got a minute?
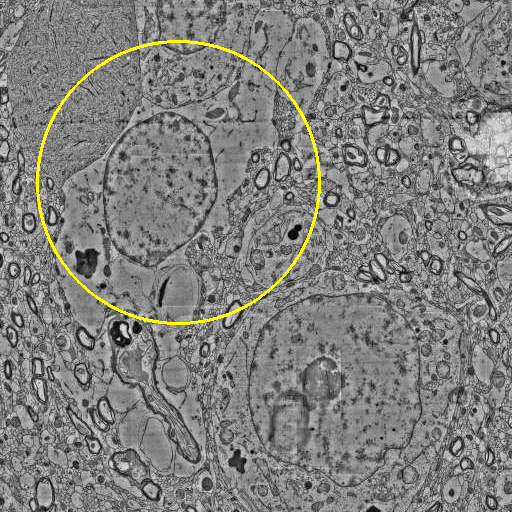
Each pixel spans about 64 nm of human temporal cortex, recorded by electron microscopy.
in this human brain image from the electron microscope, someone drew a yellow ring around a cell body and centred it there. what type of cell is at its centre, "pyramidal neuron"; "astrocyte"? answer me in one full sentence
It's an astrocyte at the middle of that yellow ring in the shot.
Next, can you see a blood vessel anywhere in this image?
Yes, there is a blood vessel in the image.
